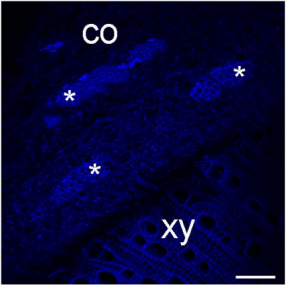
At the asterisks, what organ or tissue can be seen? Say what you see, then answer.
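The asterisks sit on compact bands of small cells that fluoresce brighter blue than the surrounding tissue. These bands lie outside the xylem, among the cortex.
Hence: sclerenchyma.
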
